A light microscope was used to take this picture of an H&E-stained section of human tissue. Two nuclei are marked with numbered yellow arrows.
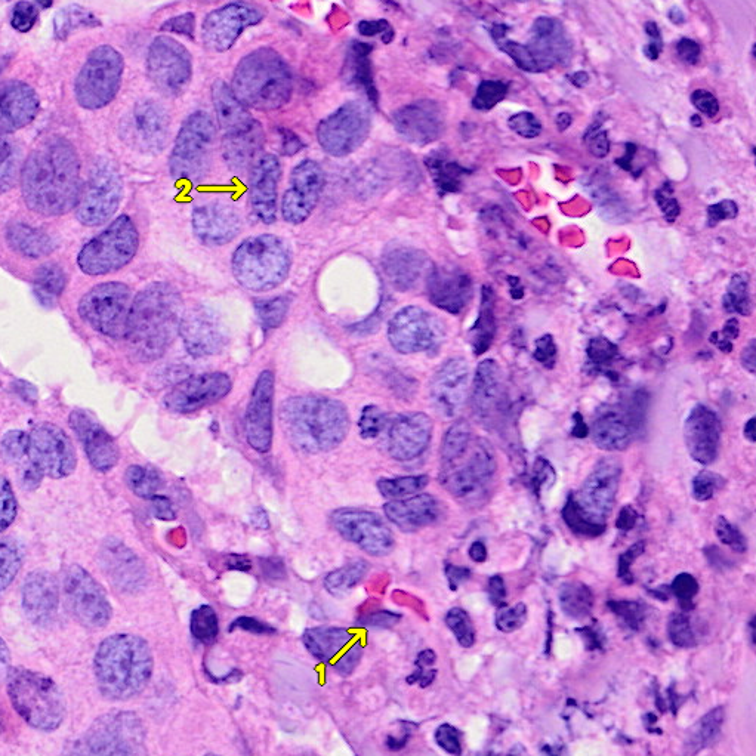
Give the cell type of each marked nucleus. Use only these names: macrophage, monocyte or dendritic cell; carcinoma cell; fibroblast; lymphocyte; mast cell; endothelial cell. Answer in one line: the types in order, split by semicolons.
endothelial cell; carcinoma cell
